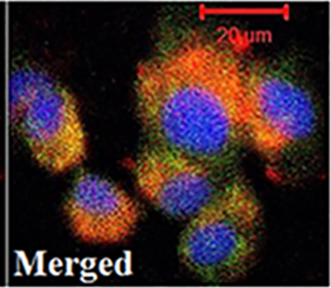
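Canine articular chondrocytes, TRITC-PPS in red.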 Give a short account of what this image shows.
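Around the nuclei the cytoplasm glows red to orange, with finer green speckles mixed through it. Where green and red overlap the cytoplasm appears yellow to orange, mostly in the area around the nucleus and through the cell body. The blue nuclei themselves carry only a little overlying color, so the signal lies mainly outside them.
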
